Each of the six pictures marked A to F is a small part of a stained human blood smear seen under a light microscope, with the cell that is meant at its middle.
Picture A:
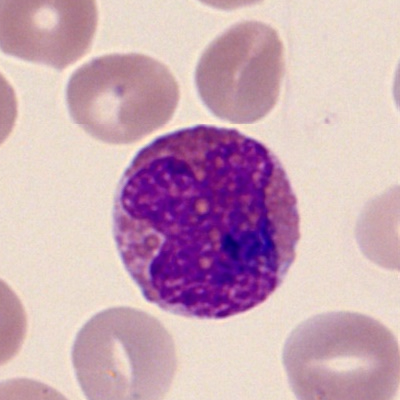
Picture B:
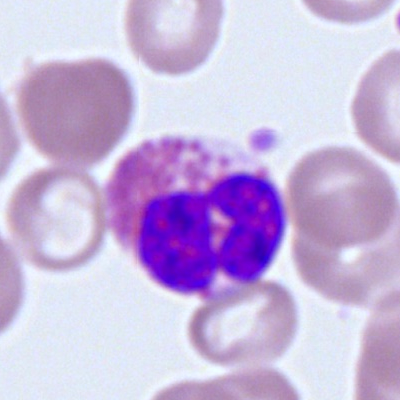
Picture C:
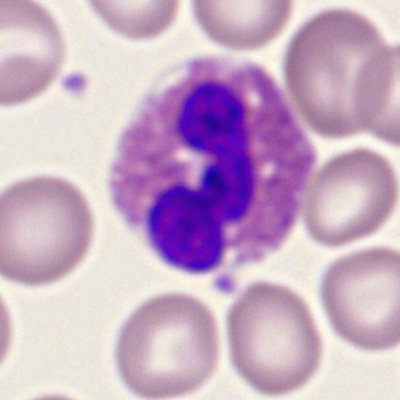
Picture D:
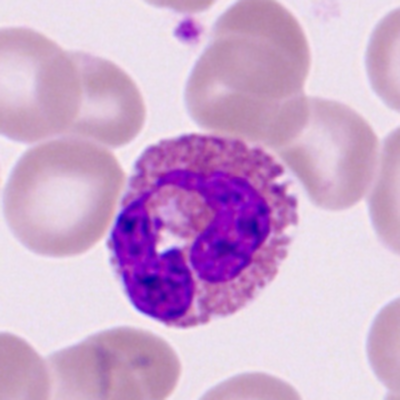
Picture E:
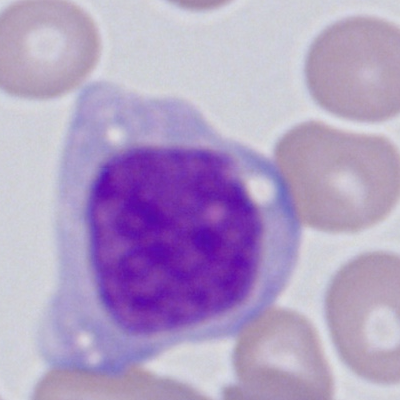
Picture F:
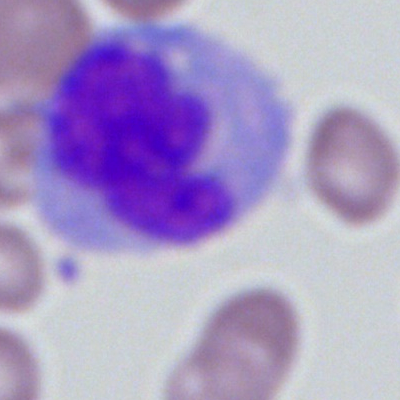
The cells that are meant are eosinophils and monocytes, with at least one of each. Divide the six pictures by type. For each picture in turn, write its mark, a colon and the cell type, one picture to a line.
A: eosinophil
B: eosinophil
C: eosinophil
D: eosinophil
E: monocyte
F: monocyte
